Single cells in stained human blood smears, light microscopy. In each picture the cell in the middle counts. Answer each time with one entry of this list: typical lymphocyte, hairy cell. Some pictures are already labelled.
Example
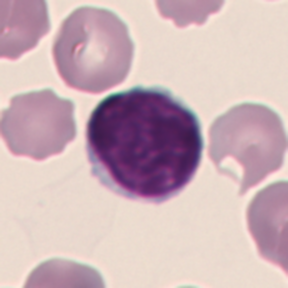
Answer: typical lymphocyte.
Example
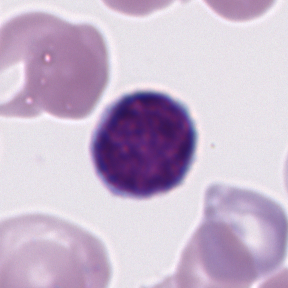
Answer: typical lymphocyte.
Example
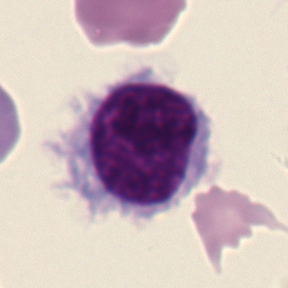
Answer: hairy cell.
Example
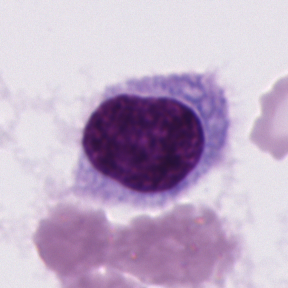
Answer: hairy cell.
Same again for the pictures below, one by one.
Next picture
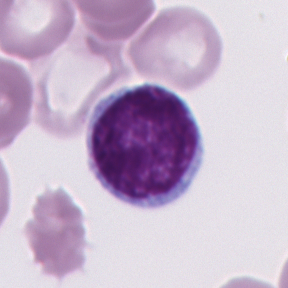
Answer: typical lymphocyte.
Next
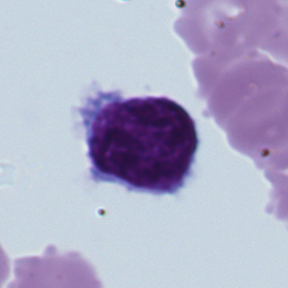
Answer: hairy cell.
